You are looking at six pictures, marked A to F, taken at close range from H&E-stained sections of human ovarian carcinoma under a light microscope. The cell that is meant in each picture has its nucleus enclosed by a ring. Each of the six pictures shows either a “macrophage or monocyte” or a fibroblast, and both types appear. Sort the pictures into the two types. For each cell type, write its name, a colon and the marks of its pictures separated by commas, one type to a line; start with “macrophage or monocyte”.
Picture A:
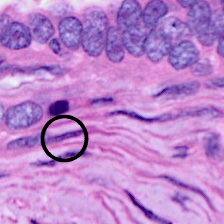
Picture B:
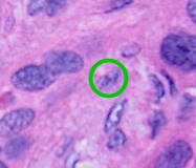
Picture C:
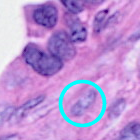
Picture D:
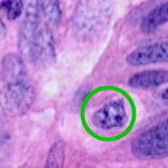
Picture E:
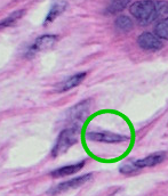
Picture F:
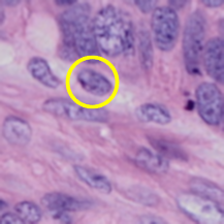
macrophage or monocyte: D, F
fibroblast: A, B, C, E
